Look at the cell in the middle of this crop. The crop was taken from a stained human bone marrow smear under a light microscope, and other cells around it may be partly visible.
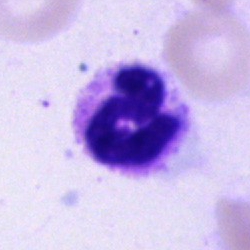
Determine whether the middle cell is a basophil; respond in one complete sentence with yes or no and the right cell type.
No, the cell in the middle of the field is a segmented neutrophil, not a basophil as suggested.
